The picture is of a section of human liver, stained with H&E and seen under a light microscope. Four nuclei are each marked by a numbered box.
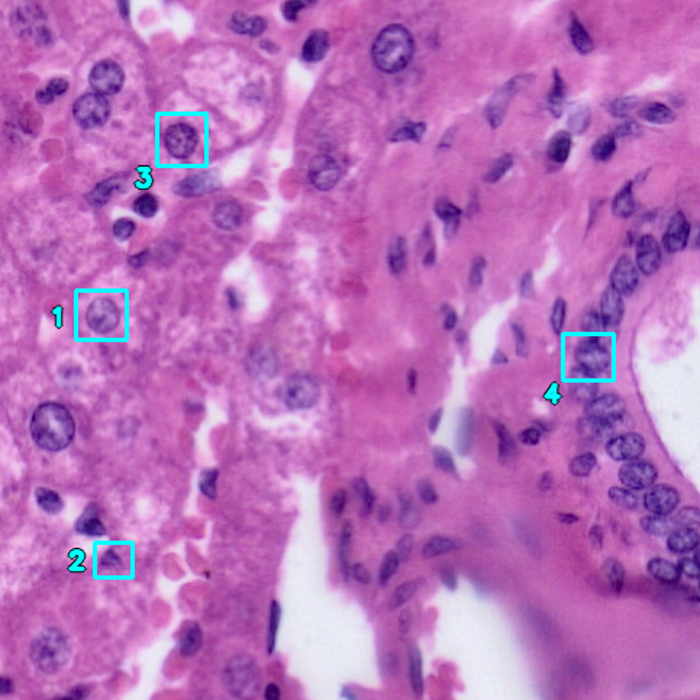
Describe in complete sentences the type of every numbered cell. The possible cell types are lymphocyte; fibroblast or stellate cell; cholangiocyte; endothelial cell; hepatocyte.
Cells 1 and 3 are hepatocytes. Cell 2 is a fibroblast or stellate cell. Cell 4 is a cholangiocyte.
